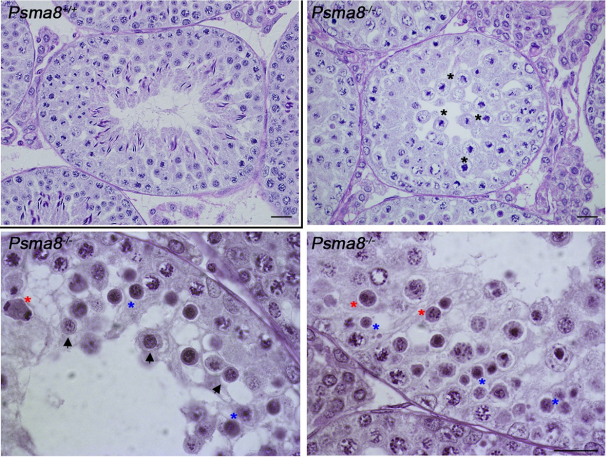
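These are cross-sections of seminiferous tubules with layered germ cells on a thin basement membrane. In one tubule the epithelium is complete with elongated spermatids lining the lumen, whereas in the others no elongated spermatids are seen and cells with condensed, clumped chromatin sit near the lumen. At higher power many round spermatids have shrunken, dark nuclei and some large cells have dense cytoplasm with clumped chromatin, while vacuoles and loose spaces appear in the epithelium.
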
